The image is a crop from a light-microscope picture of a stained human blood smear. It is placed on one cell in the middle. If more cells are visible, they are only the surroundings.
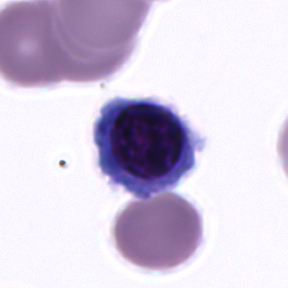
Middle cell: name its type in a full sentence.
The cell the crop is centered on is a plasma cell.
